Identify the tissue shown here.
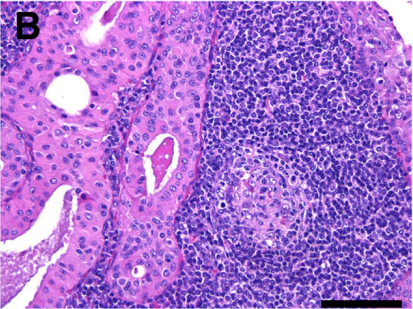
Warthin tumor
